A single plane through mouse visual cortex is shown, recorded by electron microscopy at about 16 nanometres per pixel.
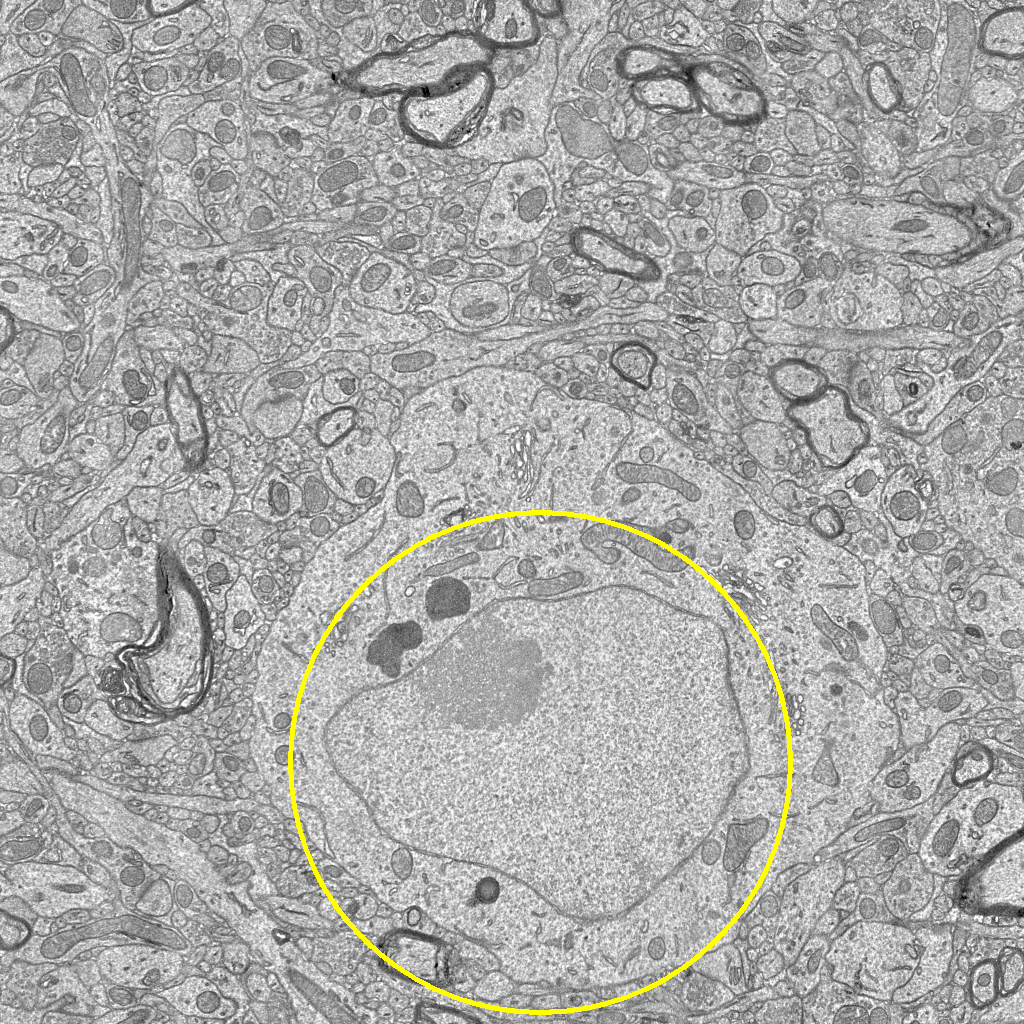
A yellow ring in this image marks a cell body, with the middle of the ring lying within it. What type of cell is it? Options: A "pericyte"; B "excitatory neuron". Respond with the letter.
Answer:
B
